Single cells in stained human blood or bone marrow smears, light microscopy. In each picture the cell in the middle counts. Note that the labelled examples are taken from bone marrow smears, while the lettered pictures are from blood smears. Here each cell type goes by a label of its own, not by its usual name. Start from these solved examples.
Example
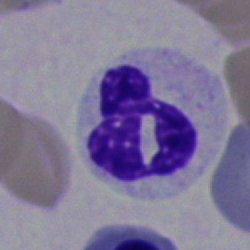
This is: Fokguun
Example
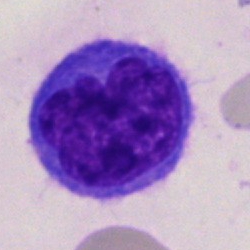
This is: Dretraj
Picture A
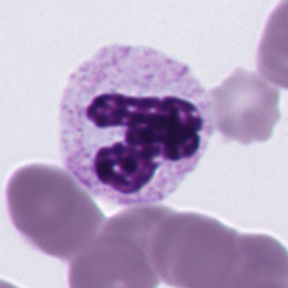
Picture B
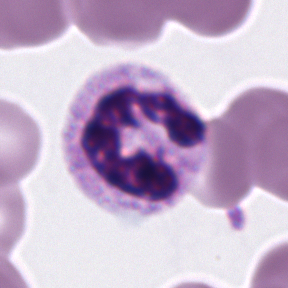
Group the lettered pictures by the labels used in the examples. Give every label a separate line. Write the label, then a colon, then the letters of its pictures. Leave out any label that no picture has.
Fokguun: A, B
